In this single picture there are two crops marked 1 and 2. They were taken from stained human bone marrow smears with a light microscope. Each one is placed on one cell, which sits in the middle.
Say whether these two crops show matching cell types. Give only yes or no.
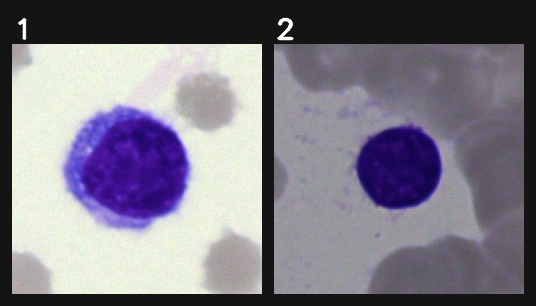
yes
